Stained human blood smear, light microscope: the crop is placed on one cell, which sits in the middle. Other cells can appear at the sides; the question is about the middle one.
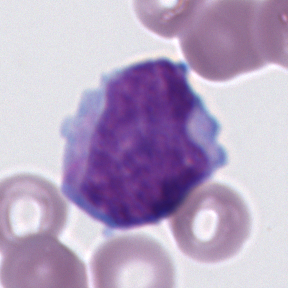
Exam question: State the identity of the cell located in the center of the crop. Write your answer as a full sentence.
The cell at the middle of the crop is recognized as an atypical promyelocyte.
